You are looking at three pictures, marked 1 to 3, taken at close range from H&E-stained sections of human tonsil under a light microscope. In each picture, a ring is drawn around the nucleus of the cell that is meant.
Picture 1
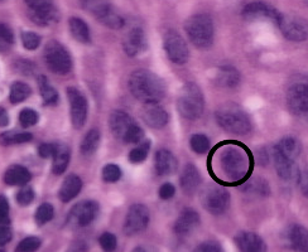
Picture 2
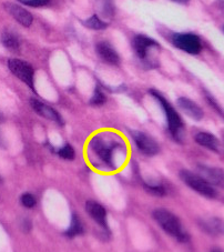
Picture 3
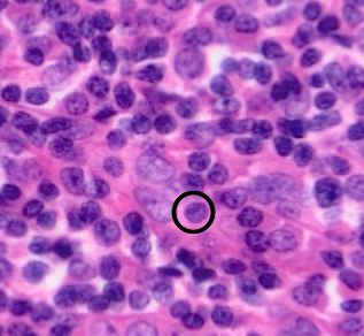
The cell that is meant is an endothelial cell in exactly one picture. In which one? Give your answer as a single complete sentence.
The picture with the endothelial cell is 3.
